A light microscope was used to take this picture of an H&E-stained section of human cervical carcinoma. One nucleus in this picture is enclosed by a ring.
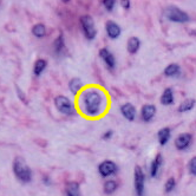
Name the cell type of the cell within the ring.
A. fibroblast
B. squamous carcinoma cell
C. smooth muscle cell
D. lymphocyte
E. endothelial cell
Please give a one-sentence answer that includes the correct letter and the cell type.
Option C correctly identifies the cell within the ring as a smooth muscle cell.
